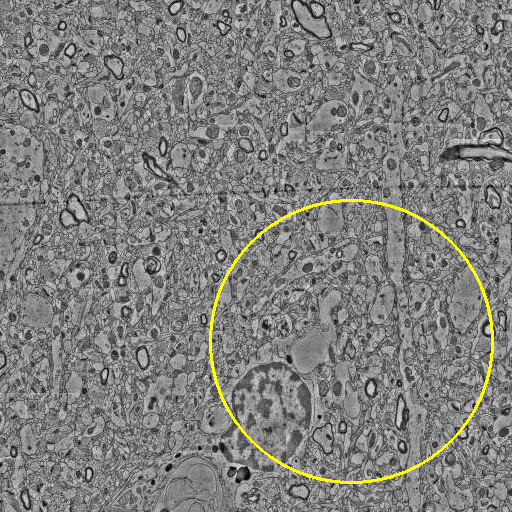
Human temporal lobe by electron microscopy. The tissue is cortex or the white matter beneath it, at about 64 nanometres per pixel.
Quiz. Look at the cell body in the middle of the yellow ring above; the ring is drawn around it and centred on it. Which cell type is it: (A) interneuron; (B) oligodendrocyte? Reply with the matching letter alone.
A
